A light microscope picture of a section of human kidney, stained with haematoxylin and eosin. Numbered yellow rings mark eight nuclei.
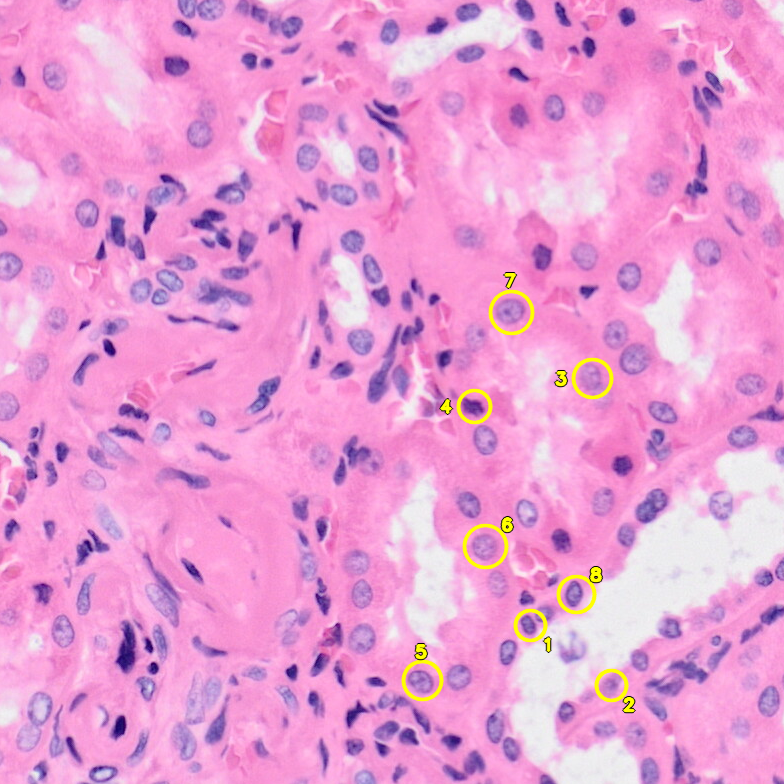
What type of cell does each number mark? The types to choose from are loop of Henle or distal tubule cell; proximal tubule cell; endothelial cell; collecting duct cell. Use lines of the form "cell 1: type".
cell 1: loop of Henle or distal tubule cell
cell 2: loop of Henle or distal tubule cell
cell 3: proximal tubule cell
cell 4: proximal tubule cell
cell 5: proximal tubule cell
cell 6: proximal tubule cell
cell 7: proximal tubule cell
cell 8: loop of Henle or distal tubule cell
